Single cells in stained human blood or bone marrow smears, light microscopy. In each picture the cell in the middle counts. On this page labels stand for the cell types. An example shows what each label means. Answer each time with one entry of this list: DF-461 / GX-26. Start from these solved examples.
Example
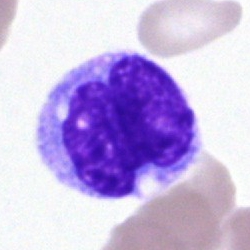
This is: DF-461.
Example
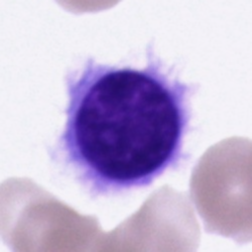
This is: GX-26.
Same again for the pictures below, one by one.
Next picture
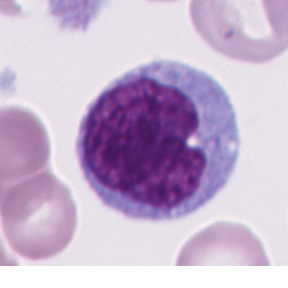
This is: DF-461.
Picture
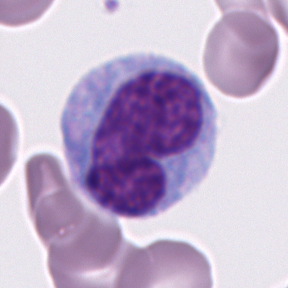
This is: DF-461.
